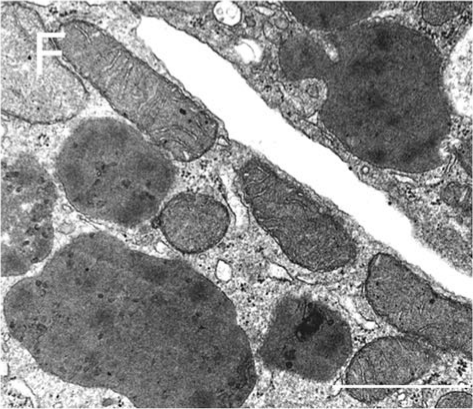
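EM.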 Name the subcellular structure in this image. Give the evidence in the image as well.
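Large oval to irregular membrane-bound bodies of homogeneous grey density. They are much larger than the nearby mitochondria with cristae. So: Large dysmorphic lysosomes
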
